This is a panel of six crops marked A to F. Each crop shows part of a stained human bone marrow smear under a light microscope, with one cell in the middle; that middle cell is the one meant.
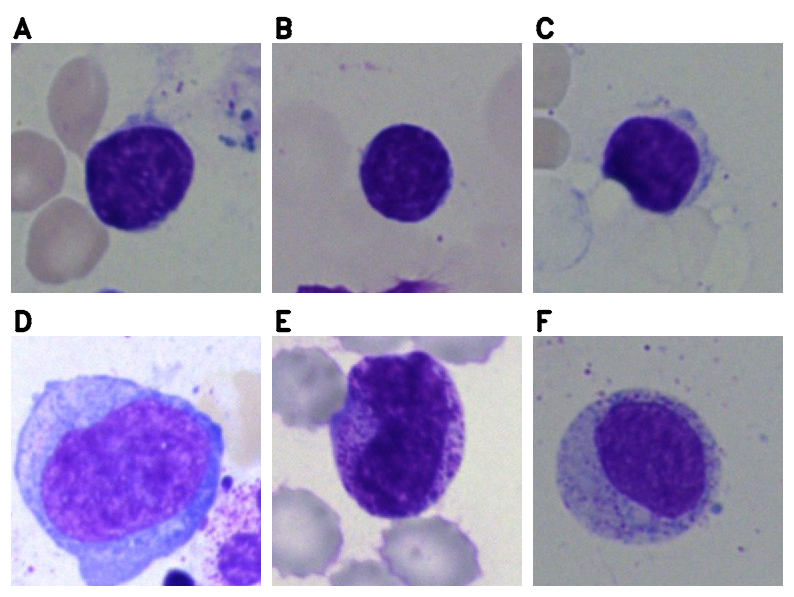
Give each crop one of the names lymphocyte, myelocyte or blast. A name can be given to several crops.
A: lymphocyte
B: lymphocyte
C: lymphocyte
D: blast
E: myelocyte
F: myelocyte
